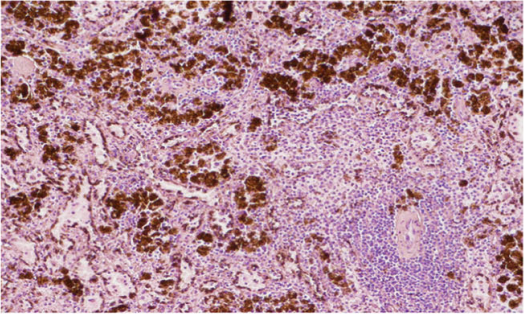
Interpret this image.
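This is spleen, with a dense rounded cluster of small, dark blue lymphocytes gathered around a small artery. Around it lies looser cellular tissue in which coarse dark brown granular clumps are heaped up in many cells, giving a mottled look to the upper part of the field.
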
